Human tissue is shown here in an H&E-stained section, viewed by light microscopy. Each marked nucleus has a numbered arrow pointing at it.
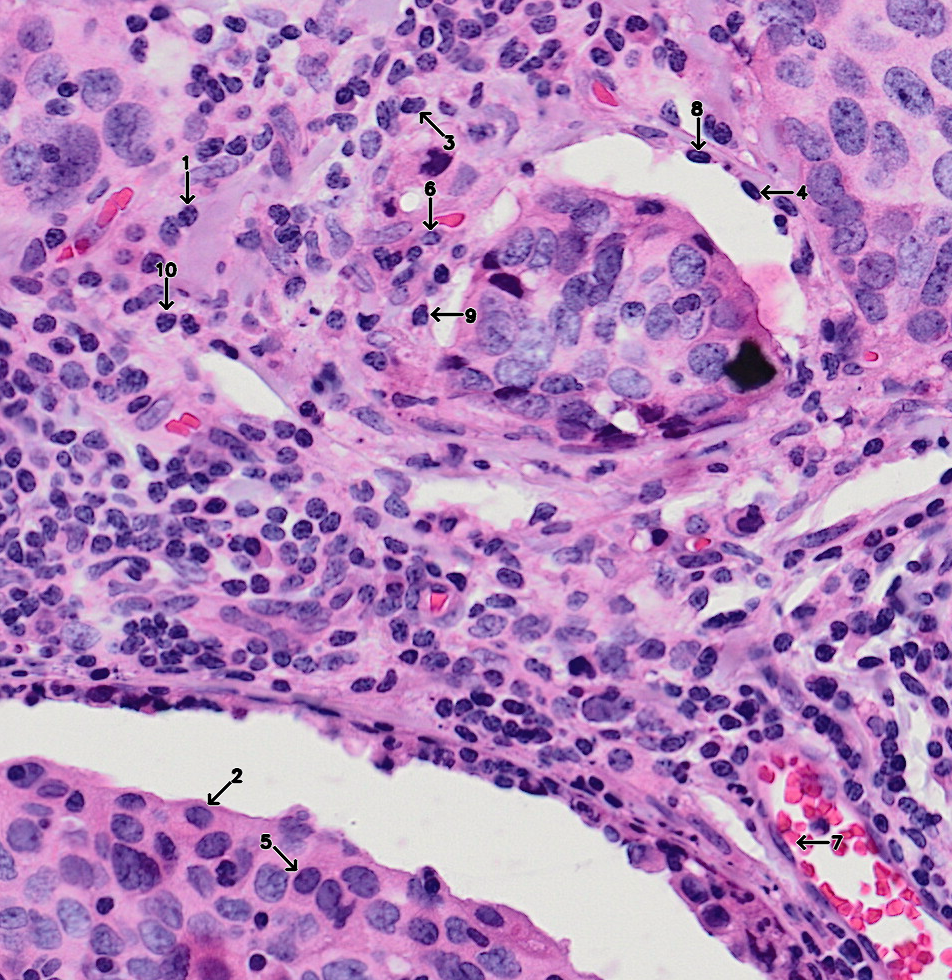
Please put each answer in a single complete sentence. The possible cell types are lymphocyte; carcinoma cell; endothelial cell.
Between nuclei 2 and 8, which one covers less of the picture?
Nucleus 8 is the smaller one; nucleus 2 covers about 1.5 times its area.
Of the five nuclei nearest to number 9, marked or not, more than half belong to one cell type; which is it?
The majority of the five nuclei closest to number 9 belong to endothelial cells.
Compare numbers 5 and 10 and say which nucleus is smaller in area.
Number 10 is smaller, since number 5 takes up about 1.5 times as much area.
